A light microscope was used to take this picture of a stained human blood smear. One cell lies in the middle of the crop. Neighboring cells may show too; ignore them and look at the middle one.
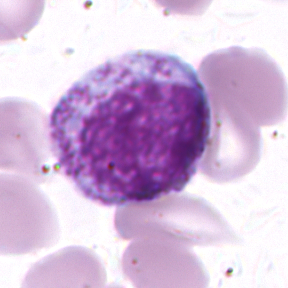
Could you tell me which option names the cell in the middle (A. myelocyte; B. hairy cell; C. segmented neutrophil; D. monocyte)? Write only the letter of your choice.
A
